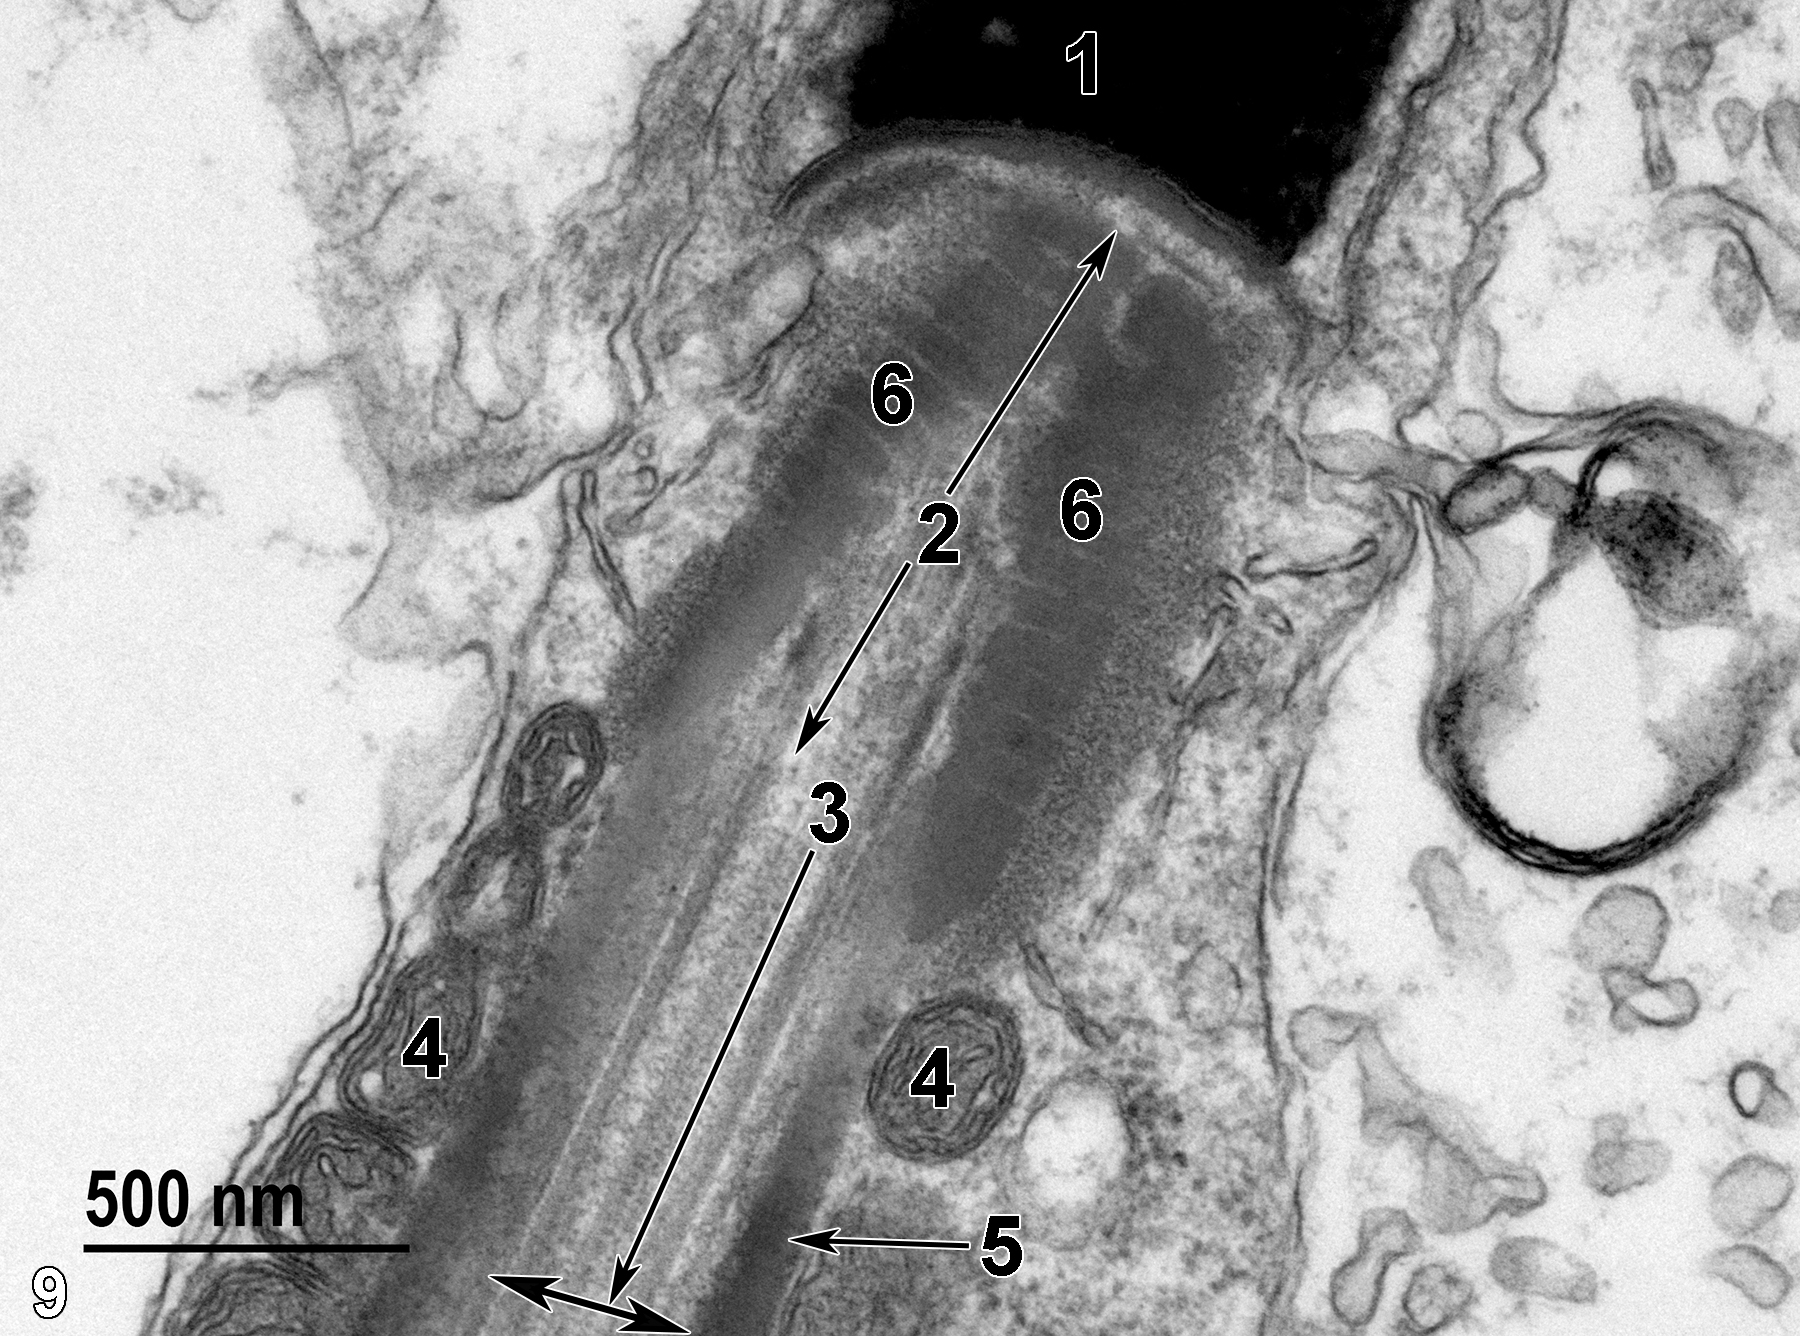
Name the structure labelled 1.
At 1: base of the nucleus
